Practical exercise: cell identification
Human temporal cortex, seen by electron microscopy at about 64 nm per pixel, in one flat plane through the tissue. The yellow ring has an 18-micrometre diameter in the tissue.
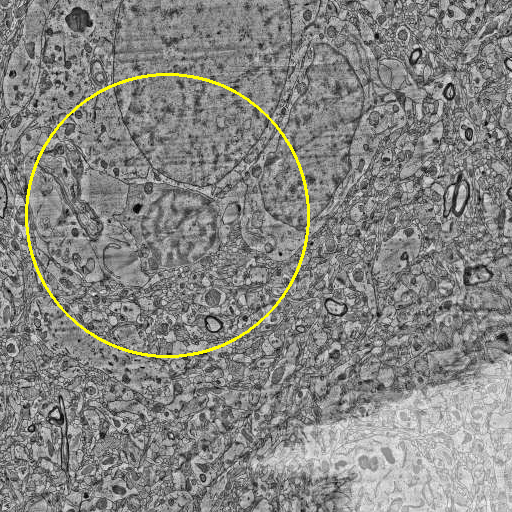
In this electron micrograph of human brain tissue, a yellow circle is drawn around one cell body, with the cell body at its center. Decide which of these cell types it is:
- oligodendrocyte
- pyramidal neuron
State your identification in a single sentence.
The ringed cell is an oligodendrocyte.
